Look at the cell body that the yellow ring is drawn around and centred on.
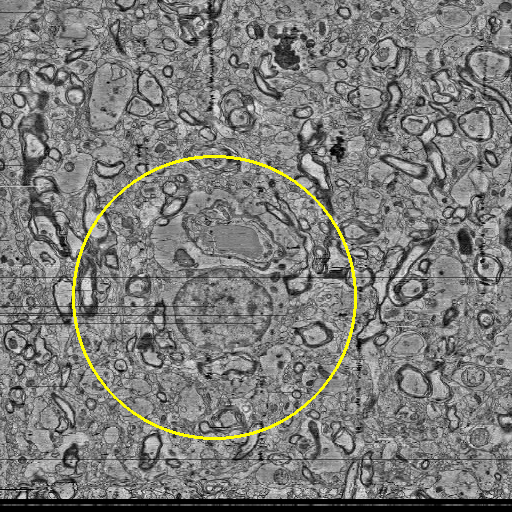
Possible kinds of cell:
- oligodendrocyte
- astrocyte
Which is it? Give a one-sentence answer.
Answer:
The centred cell body is that of an oligodendrocyte.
